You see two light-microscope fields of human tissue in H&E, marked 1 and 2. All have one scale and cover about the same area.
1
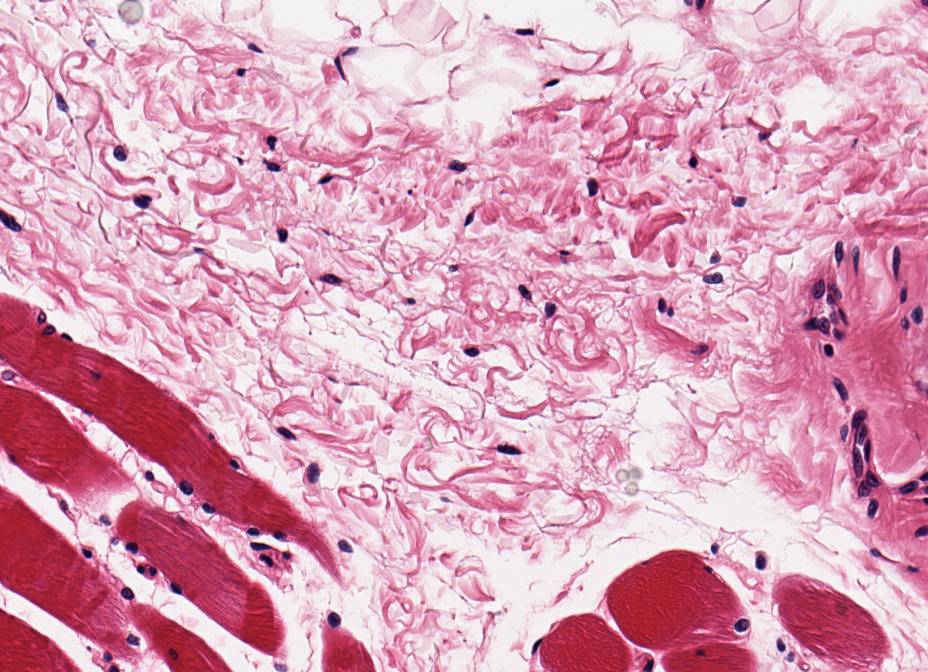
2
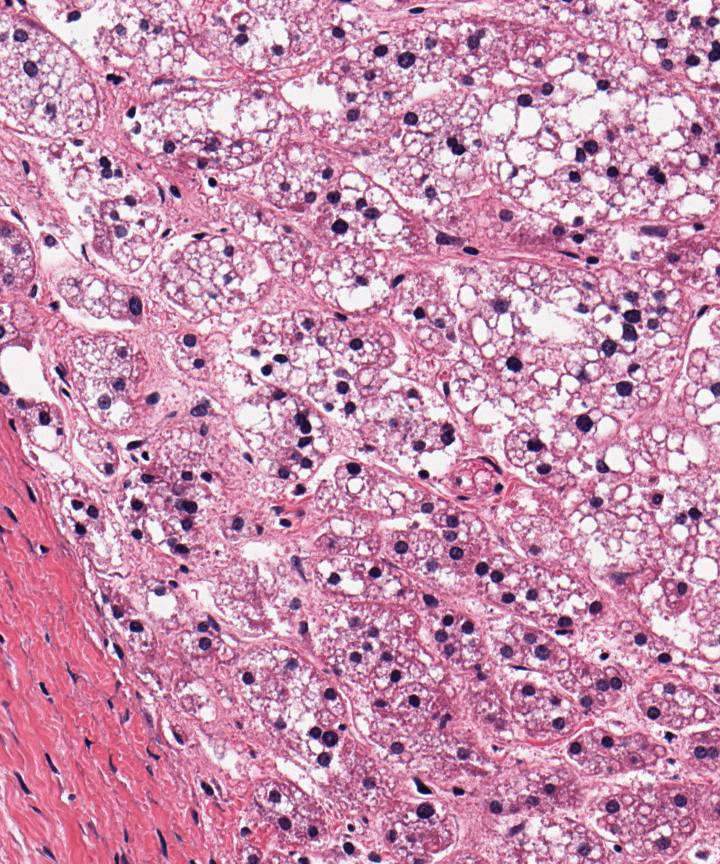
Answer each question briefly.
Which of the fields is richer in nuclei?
2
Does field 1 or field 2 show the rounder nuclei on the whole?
2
